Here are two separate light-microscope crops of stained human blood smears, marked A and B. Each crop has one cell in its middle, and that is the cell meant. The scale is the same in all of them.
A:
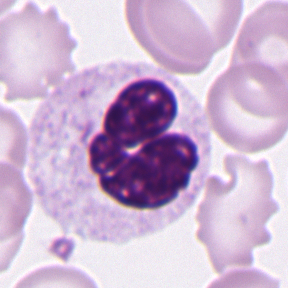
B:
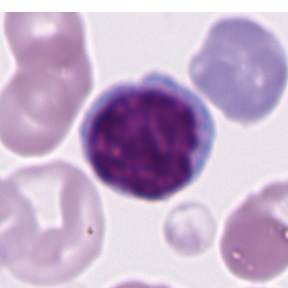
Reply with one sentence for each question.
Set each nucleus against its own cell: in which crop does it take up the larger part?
Of the two, the nucleus in crop B makes up the greater part of its cell.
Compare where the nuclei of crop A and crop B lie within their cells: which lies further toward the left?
It is the nucleus in crop B that lies further toward the left of its cell.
